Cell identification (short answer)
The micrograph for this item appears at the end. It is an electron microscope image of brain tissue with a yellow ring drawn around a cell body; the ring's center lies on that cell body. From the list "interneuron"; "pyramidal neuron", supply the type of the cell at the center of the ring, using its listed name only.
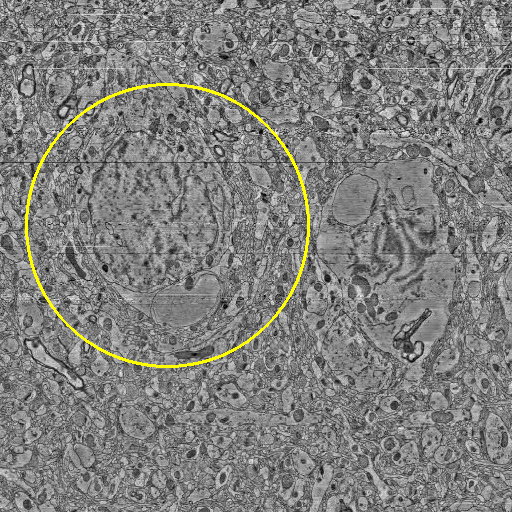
interneuron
